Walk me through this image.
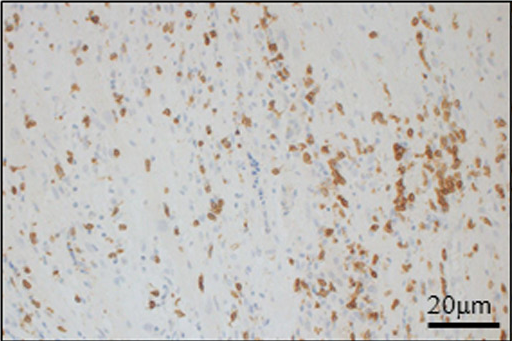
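The brown cells are round to irregular in outline and stand out against a background of small, pale blue, oval to spindle-shaped nuclei. Areas between the stained cells are pale with sparse blue nuclei.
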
